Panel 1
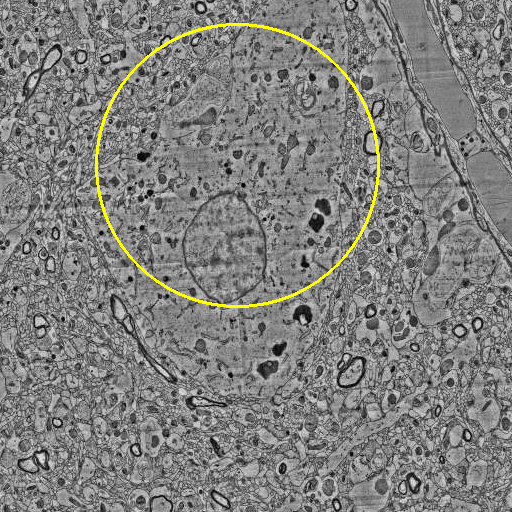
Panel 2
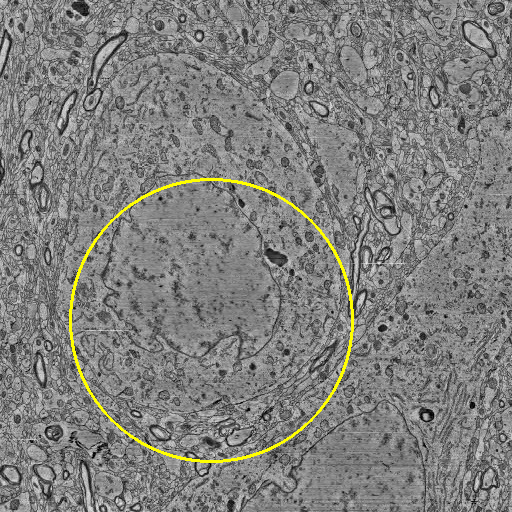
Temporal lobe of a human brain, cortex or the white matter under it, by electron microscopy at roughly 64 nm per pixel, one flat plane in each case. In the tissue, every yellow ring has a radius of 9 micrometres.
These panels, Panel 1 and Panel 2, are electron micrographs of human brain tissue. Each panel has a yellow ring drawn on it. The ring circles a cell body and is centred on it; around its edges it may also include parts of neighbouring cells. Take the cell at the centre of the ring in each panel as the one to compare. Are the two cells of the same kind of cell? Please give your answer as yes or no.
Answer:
no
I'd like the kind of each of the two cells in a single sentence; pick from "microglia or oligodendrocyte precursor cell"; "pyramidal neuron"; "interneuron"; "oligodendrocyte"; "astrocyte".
The first ring marks an oligodendrocyte, and the second ring marks a pyramidal neuron.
